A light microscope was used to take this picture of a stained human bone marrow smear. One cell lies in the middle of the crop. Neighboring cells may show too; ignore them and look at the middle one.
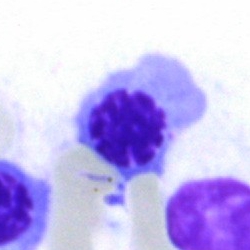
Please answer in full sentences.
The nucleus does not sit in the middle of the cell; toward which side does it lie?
It is shifted toward the lower left of the cell.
